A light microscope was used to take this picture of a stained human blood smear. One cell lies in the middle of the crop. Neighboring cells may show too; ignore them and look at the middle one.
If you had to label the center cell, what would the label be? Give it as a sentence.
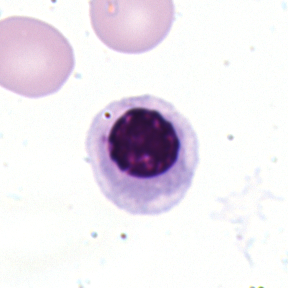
In the center of this field lies an erythroblast.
